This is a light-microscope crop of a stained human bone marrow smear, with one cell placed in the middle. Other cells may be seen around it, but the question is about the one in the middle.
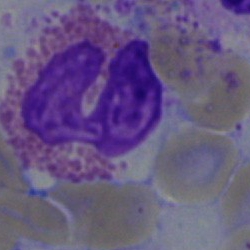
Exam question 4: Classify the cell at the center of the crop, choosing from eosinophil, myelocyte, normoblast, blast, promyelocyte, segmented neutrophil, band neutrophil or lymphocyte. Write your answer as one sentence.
The centrally positioned cell in the crop represents an eosinophil.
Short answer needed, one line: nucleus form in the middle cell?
The nucleus has been partitioned into two or more lobes.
